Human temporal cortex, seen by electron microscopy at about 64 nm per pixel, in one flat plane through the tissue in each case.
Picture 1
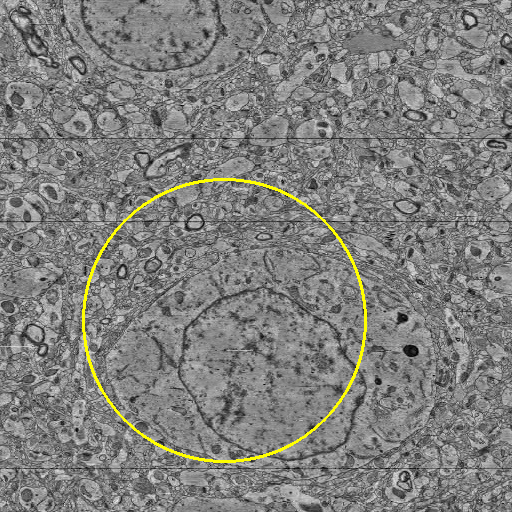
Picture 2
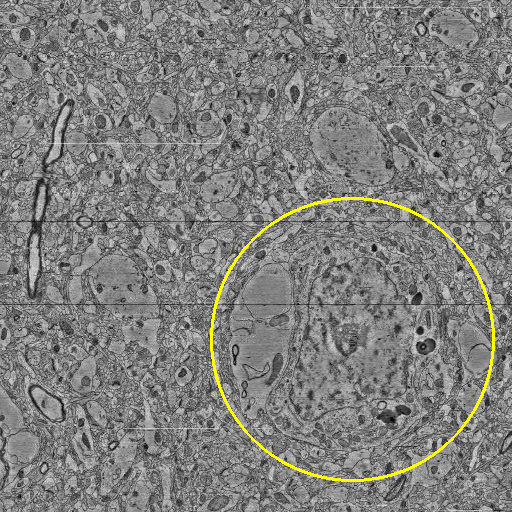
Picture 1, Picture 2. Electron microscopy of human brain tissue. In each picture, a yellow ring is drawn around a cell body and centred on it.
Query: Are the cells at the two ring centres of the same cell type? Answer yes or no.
no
